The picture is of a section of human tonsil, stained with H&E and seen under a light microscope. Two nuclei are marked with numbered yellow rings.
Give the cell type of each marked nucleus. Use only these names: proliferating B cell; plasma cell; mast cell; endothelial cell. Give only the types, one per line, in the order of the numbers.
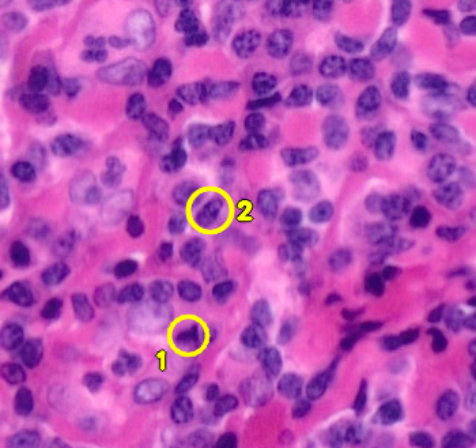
endothelial cell
plasma cell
